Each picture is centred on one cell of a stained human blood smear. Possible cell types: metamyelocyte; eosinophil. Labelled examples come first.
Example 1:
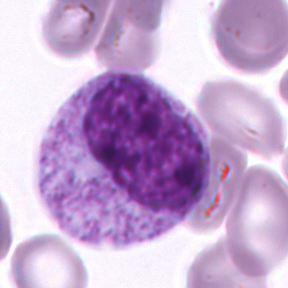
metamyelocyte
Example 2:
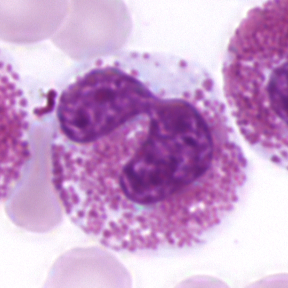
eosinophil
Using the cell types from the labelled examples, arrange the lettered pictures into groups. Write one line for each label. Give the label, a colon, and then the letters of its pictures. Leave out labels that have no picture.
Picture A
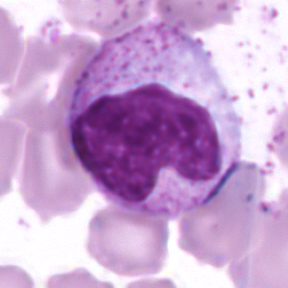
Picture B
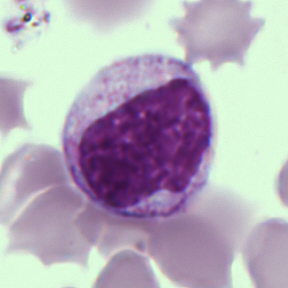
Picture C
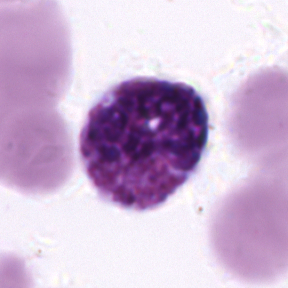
metamyelocyte: A, B
eosinophil: C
